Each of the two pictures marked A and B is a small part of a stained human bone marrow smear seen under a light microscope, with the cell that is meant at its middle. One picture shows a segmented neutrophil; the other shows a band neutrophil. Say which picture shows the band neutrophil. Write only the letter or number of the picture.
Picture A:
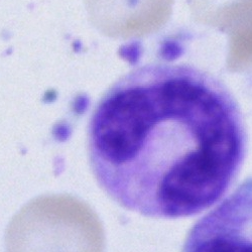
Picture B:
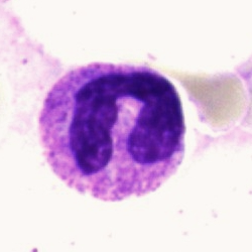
A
